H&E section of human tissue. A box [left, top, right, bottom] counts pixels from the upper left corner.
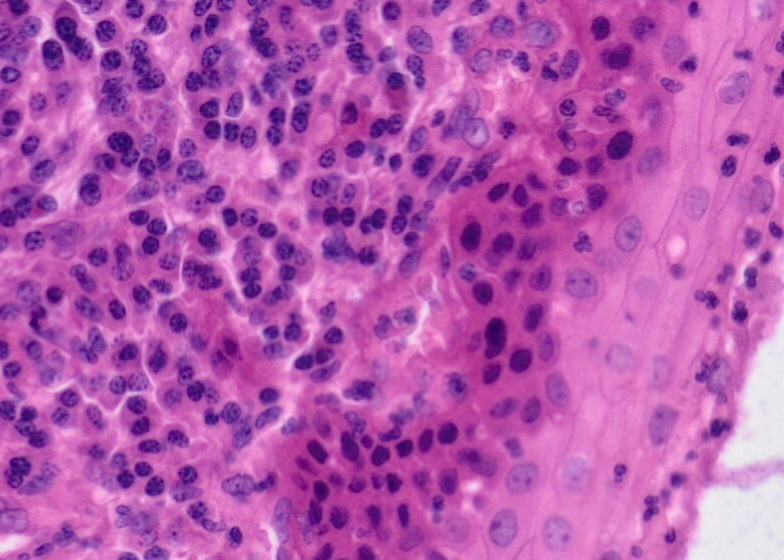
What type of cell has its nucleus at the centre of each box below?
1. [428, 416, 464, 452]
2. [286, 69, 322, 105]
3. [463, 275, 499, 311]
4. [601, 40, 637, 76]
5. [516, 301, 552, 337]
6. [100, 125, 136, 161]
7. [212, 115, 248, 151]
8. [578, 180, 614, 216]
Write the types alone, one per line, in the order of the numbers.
squamous epithelial cell
plasma cell
squamous epithelial cell
squamous epithelial cell
squamous epithelial cell
plasma cell
plasma cell
squamous epithelial cell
